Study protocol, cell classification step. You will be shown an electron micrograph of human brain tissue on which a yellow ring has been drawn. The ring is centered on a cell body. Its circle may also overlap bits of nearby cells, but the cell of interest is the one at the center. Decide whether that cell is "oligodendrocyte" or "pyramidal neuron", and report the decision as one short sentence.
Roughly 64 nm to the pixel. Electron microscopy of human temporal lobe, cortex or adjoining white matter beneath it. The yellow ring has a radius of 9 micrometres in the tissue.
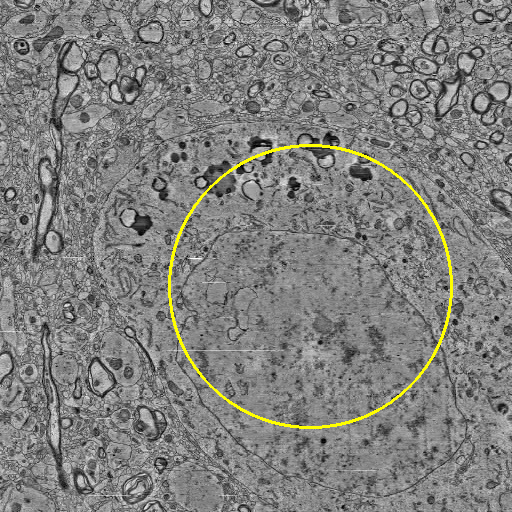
The marked cell is a pyramidal neuron.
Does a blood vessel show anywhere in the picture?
No, none shows.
